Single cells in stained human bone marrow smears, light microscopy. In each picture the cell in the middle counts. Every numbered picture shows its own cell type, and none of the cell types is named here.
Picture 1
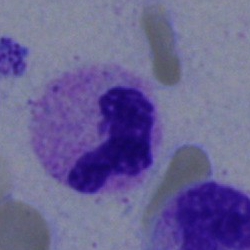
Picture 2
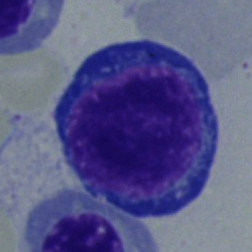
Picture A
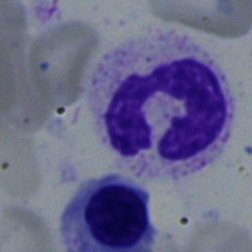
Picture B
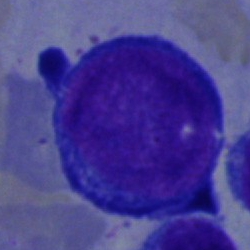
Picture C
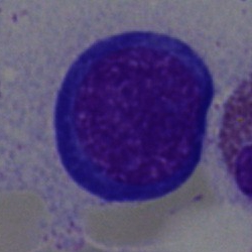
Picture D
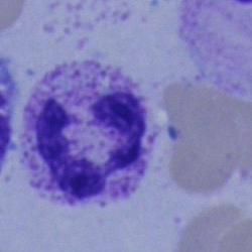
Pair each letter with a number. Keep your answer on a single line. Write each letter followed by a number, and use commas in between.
A 1, B 2, C 2, D 1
